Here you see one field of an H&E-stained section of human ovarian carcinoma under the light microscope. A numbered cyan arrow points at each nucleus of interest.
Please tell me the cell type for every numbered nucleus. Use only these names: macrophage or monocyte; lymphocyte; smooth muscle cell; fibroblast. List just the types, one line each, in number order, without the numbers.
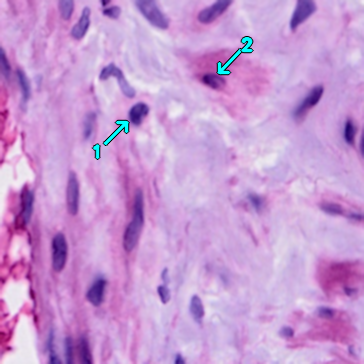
lymphocyte
smooth muscle cell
